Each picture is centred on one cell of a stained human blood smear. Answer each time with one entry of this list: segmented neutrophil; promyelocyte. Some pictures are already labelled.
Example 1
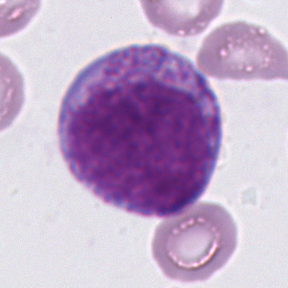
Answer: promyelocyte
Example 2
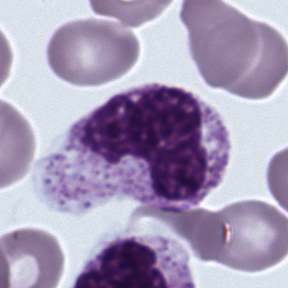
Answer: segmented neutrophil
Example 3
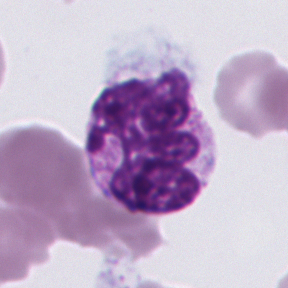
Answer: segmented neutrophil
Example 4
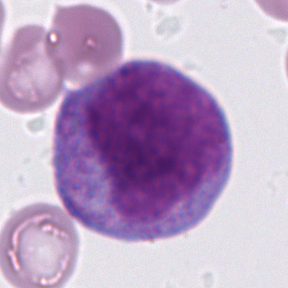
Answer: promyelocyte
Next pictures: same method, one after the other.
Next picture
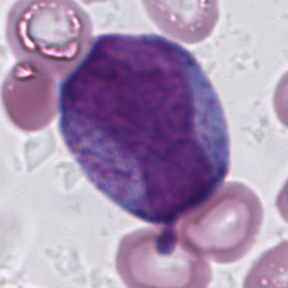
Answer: promyelocyte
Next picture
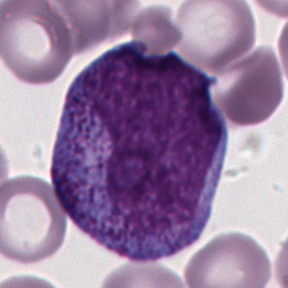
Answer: promyelocyte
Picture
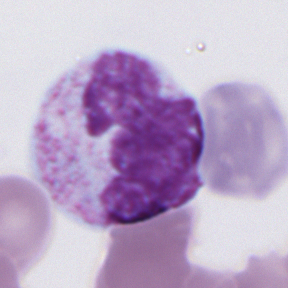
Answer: segmented neutrophil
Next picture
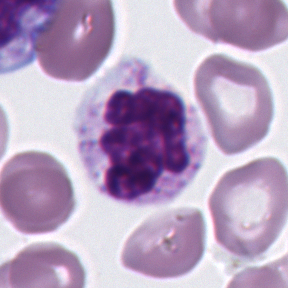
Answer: segmented neutrophil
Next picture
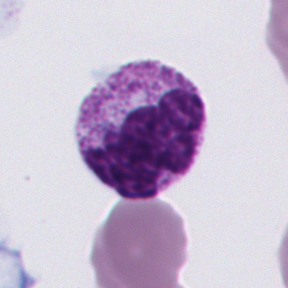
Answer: segmented neutrophil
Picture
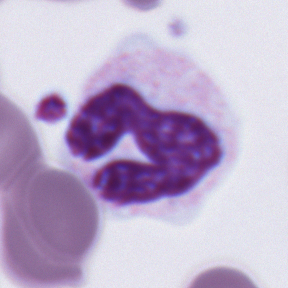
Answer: segmented neutrophil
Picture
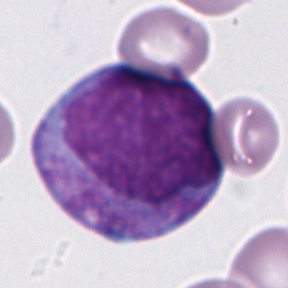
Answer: promyelocyte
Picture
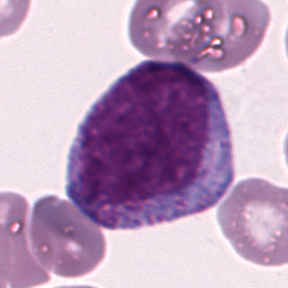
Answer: promyelocyte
